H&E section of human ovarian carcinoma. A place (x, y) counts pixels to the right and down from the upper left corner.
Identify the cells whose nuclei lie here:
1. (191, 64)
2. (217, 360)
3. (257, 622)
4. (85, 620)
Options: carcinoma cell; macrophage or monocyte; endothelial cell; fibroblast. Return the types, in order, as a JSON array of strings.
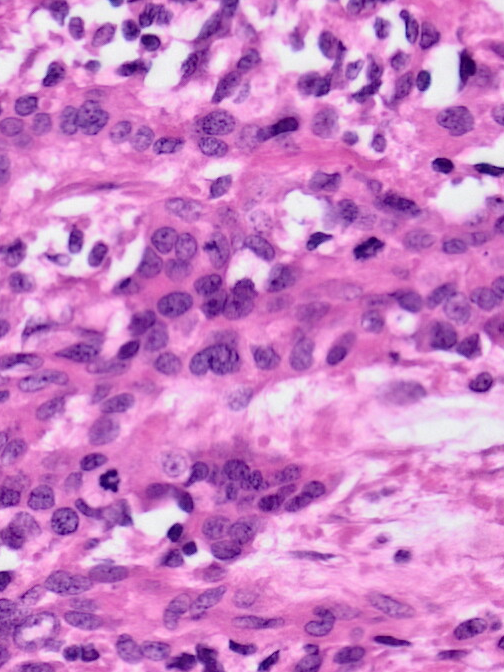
["carcinoma cell", "carcinoma cell", "endothelial cell", "carcinoma cell"]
